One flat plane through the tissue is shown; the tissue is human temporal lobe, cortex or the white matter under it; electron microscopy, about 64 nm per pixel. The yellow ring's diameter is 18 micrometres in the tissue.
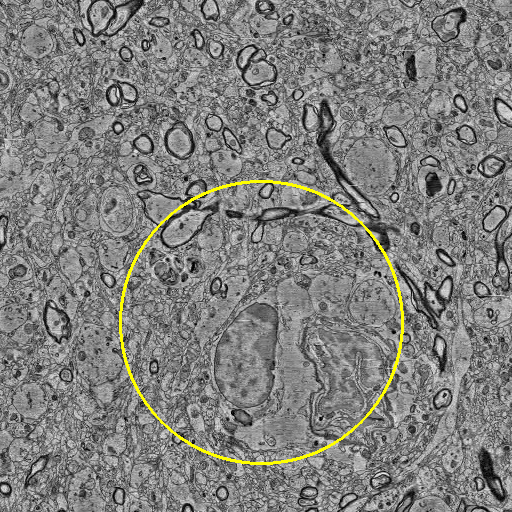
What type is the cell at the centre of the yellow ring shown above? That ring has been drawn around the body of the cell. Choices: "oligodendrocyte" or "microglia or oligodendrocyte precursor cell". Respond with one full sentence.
My answer is that a microglial cell or oligodendrocyte precursor cell lies at the centre of the yellow ring above.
